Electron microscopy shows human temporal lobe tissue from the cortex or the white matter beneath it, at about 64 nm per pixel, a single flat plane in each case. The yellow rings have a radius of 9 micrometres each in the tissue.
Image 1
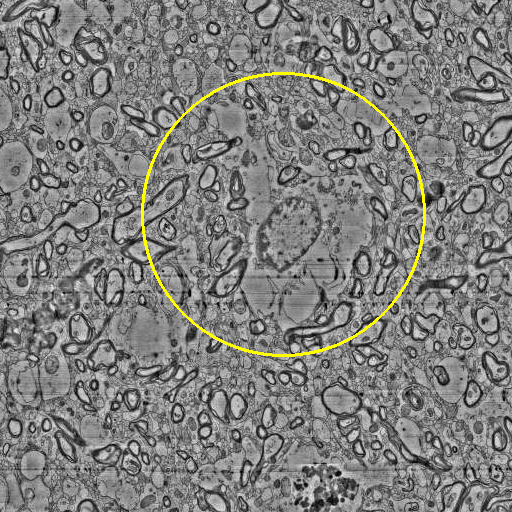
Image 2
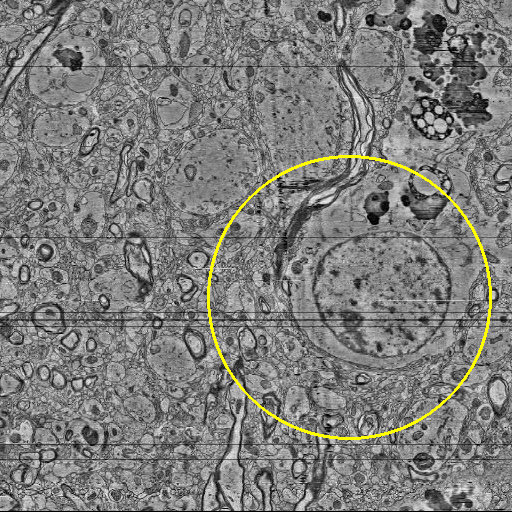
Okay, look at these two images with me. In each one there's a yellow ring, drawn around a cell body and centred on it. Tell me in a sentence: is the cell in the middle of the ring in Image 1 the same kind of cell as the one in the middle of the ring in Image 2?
Yes, they're the same kind of cell.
